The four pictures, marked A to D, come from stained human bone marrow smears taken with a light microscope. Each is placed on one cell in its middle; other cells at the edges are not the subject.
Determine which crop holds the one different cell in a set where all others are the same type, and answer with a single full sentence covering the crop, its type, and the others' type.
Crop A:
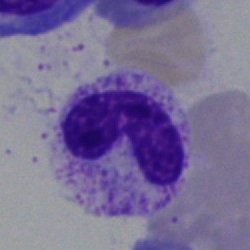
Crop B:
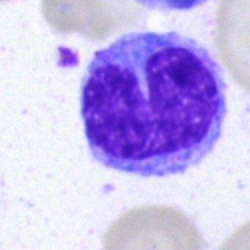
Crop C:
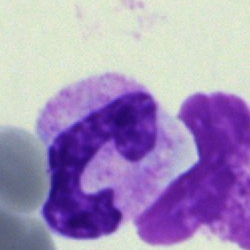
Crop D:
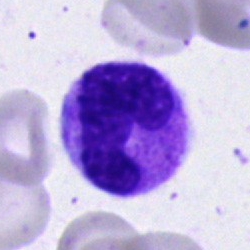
Crop B is the different one, a monocyte, while the rest are band neutrophils.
